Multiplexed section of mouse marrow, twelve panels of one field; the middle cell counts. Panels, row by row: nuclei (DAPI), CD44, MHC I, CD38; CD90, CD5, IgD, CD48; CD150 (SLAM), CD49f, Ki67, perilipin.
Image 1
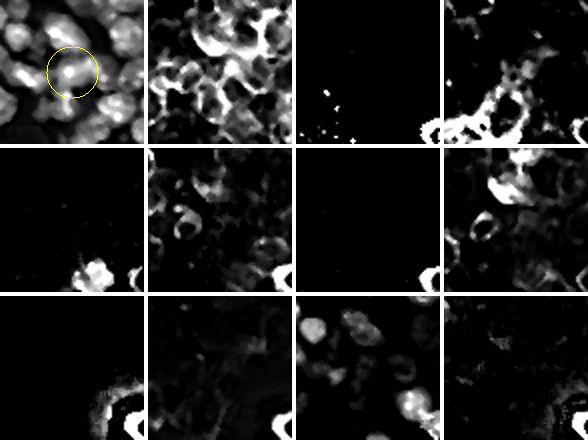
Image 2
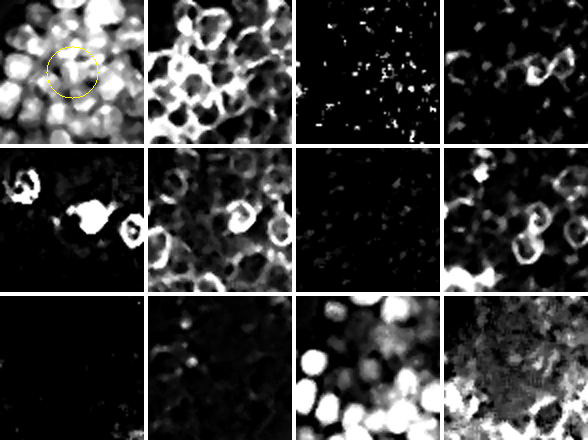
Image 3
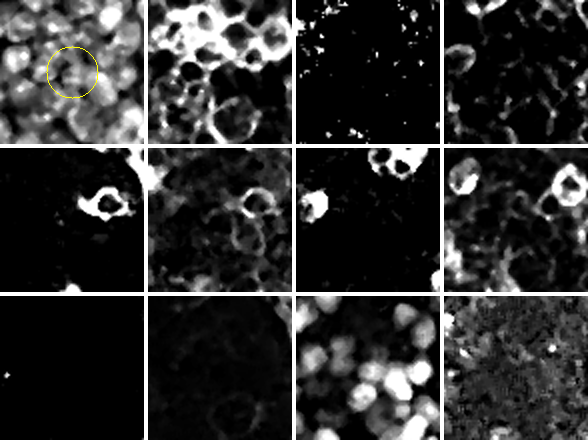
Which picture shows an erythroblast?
Picture 3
